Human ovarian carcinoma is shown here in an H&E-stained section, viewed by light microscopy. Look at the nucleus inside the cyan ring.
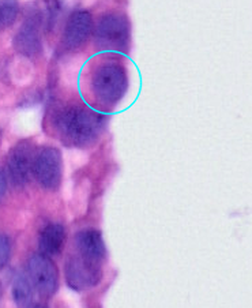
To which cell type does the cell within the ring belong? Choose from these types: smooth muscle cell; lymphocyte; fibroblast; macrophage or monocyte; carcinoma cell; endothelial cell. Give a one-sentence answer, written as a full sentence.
It is as a carcinoma cell that the cell within the ring is recorded.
